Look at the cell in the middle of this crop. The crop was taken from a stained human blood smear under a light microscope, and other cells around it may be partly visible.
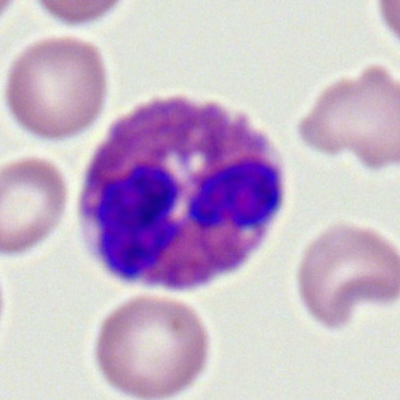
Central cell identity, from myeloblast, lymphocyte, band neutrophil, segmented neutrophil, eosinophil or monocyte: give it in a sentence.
The cell at the middle of the frame should be recorded as an eosinophil.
